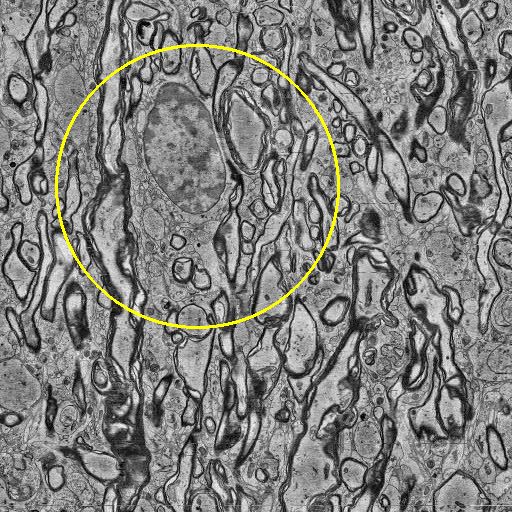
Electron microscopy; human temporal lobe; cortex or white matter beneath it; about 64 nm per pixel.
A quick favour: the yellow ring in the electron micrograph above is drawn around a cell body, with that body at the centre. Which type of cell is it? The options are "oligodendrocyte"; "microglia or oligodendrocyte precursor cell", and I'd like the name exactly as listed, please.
microglia or oligodendrocyte precursor cell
